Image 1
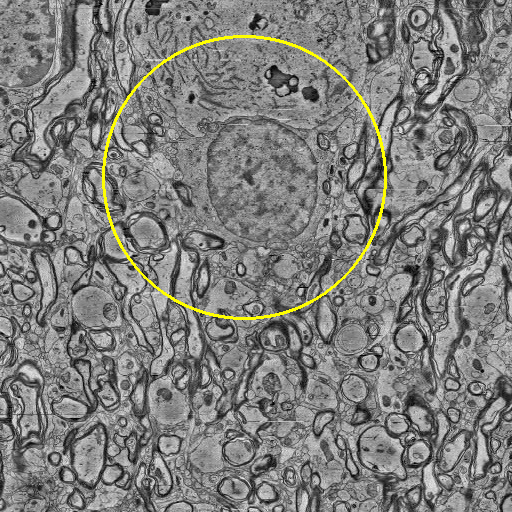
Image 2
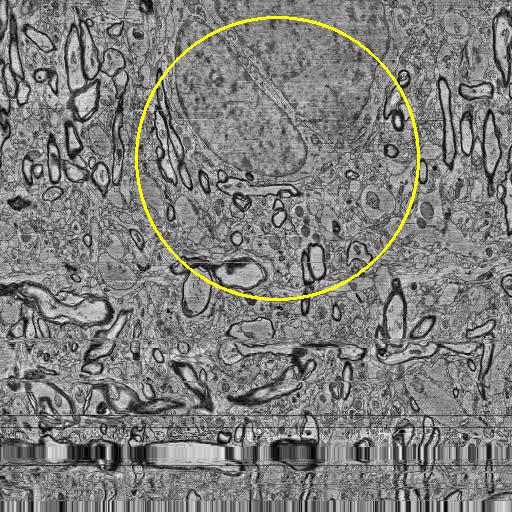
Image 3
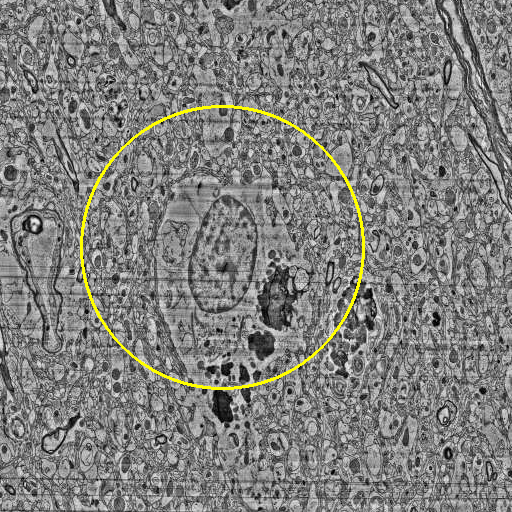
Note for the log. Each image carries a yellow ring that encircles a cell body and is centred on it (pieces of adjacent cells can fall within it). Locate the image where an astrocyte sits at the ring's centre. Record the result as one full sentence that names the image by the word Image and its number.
Image 3 has the wanted cell sitting at the centre of its ring.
